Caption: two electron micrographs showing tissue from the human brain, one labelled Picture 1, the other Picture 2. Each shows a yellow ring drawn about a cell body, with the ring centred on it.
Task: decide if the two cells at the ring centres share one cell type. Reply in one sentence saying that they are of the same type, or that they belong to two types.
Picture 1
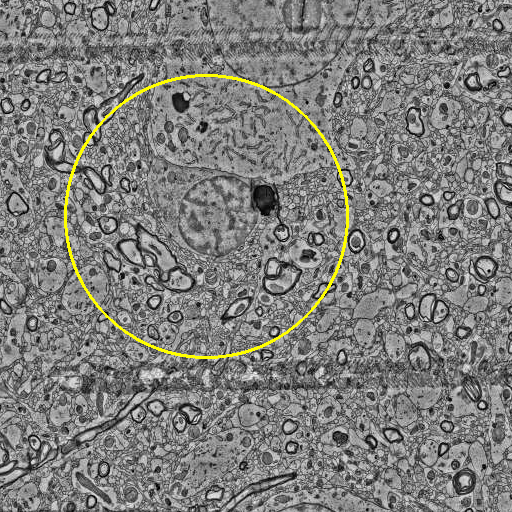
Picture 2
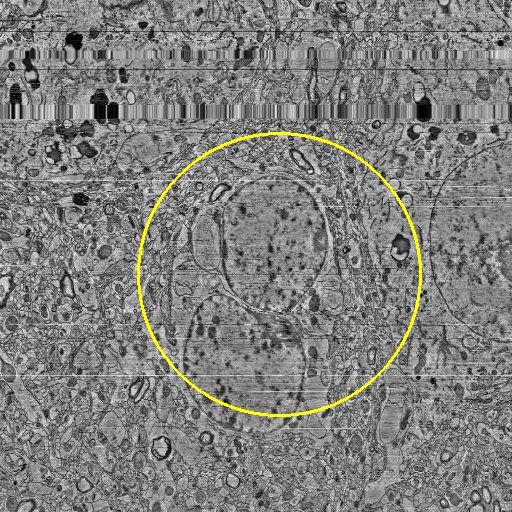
The cells at the ring centres in Picture 1 and Picture 2 belong to two types.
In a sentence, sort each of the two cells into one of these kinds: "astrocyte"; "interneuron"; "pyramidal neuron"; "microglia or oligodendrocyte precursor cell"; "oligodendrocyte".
The first of the two cells is an oligodendrocyte, and the second is an astrocyte.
